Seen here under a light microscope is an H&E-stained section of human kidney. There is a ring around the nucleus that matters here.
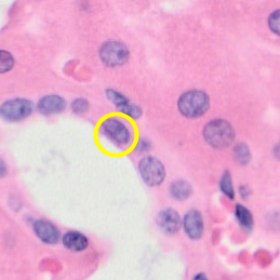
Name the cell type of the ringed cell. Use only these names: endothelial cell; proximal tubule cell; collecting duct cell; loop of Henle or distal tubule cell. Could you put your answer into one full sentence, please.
To be brief about it, the ringed cell is a collecting duct cell.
